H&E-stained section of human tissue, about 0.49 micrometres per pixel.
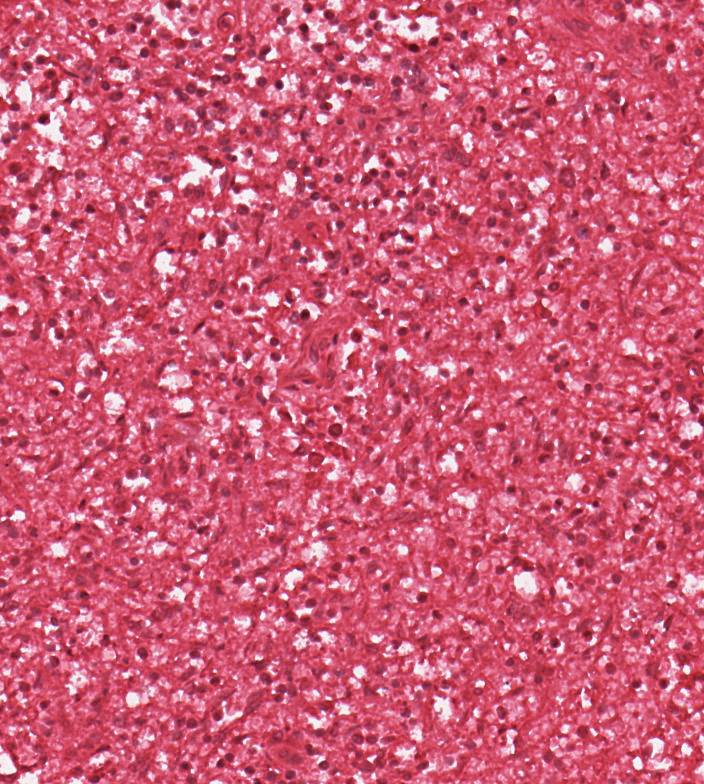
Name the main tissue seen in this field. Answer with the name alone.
red pulp of the spleen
